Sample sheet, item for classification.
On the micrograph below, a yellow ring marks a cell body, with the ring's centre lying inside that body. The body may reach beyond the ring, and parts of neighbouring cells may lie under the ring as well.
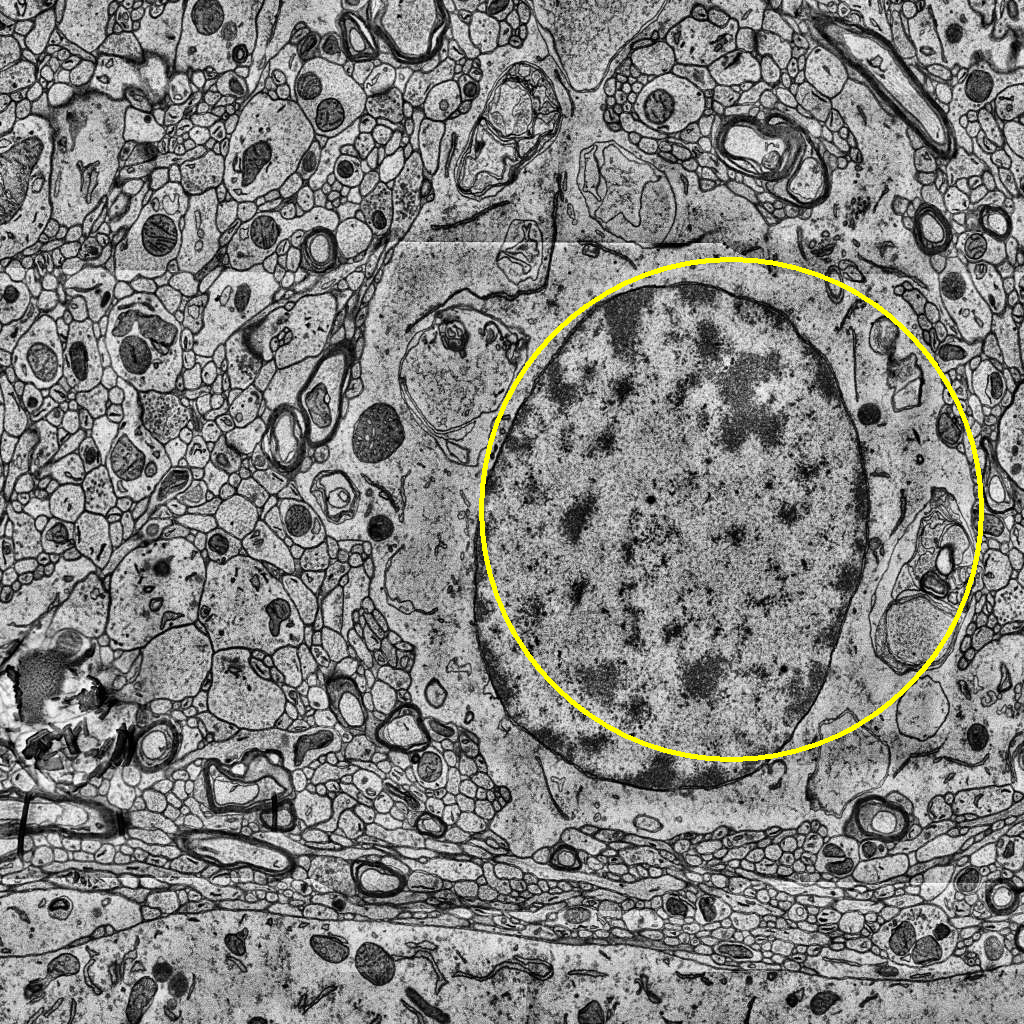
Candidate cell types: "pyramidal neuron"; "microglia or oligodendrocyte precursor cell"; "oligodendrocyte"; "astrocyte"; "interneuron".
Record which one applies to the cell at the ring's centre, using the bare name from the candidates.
astrocyte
